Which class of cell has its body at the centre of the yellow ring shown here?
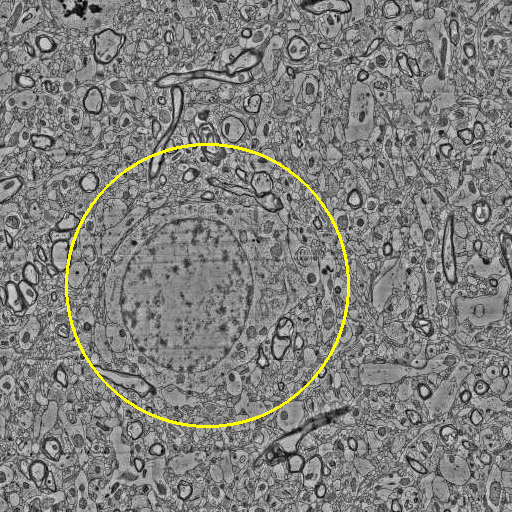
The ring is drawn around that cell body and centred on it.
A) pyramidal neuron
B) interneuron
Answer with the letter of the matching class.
B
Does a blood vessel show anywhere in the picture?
No, no vessel shows anywhere in the image.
